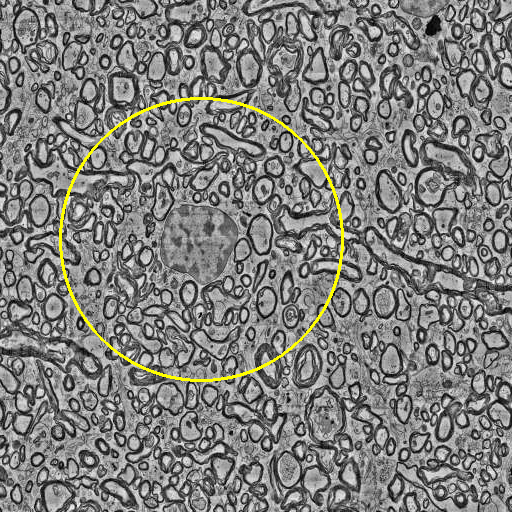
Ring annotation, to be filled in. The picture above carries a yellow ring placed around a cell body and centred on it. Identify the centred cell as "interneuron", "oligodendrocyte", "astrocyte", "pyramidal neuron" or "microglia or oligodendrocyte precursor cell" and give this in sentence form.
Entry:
The cell in the middle of the ring is a microglial cell or oligodendrocyte precursor cell.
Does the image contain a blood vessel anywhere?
No, none is visible.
